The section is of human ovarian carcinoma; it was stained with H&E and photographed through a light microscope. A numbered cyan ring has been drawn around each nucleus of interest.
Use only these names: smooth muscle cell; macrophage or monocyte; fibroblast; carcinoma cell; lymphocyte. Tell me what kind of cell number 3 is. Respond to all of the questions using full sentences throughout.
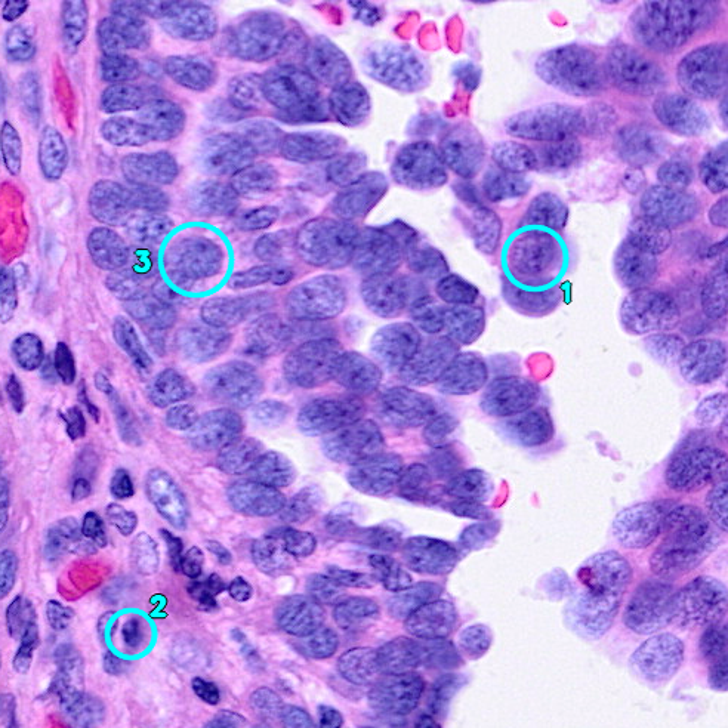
The cell tagged with 3 in this tissue section is a carcinoma cell.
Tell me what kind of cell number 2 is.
The nucleus labeled 2 belongs to a lymphocyte.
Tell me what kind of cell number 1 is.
The cell with the number 1 is a carcinoma cell.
